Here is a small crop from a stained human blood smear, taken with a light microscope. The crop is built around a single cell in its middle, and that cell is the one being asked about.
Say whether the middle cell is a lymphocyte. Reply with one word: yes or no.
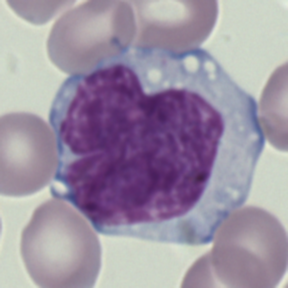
no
